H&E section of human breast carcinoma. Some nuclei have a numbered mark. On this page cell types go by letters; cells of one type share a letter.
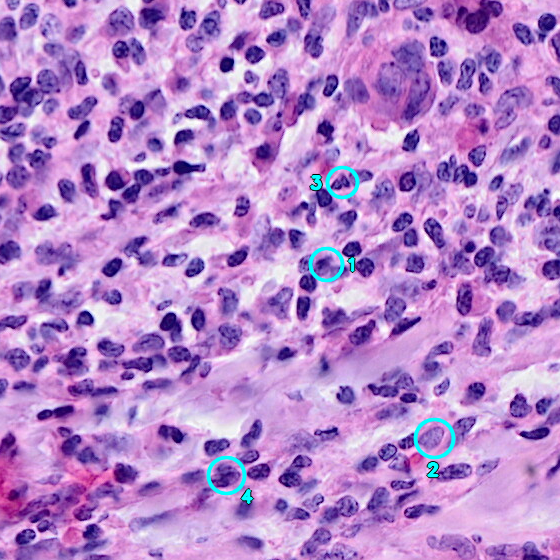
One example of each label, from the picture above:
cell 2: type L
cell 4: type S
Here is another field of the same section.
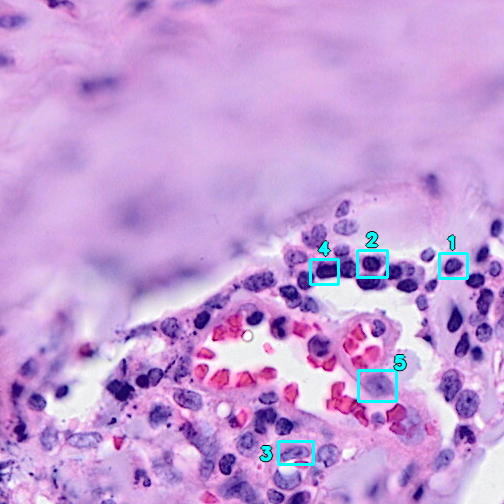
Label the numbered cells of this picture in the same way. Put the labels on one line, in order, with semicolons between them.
type S; type S; type L; type S; type L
